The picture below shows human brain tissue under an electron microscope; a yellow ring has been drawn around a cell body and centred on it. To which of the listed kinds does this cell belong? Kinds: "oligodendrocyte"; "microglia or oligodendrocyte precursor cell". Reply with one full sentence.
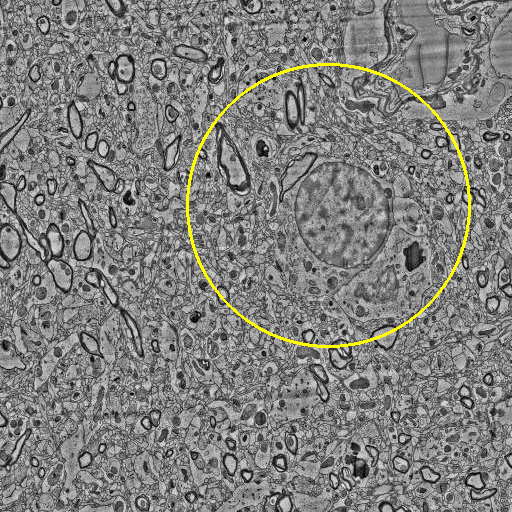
It is an oligodendrocyte that the yellow ring in the picture is centred on.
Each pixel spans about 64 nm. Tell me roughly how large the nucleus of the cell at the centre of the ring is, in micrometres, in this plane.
In this plane the nucleus is about 7 micrometres across.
